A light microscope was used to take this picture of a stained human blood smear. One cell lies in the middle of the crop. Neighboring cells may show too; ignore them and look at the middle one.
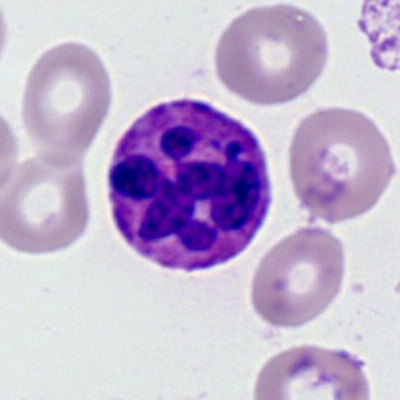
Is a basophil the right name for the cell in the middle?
no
